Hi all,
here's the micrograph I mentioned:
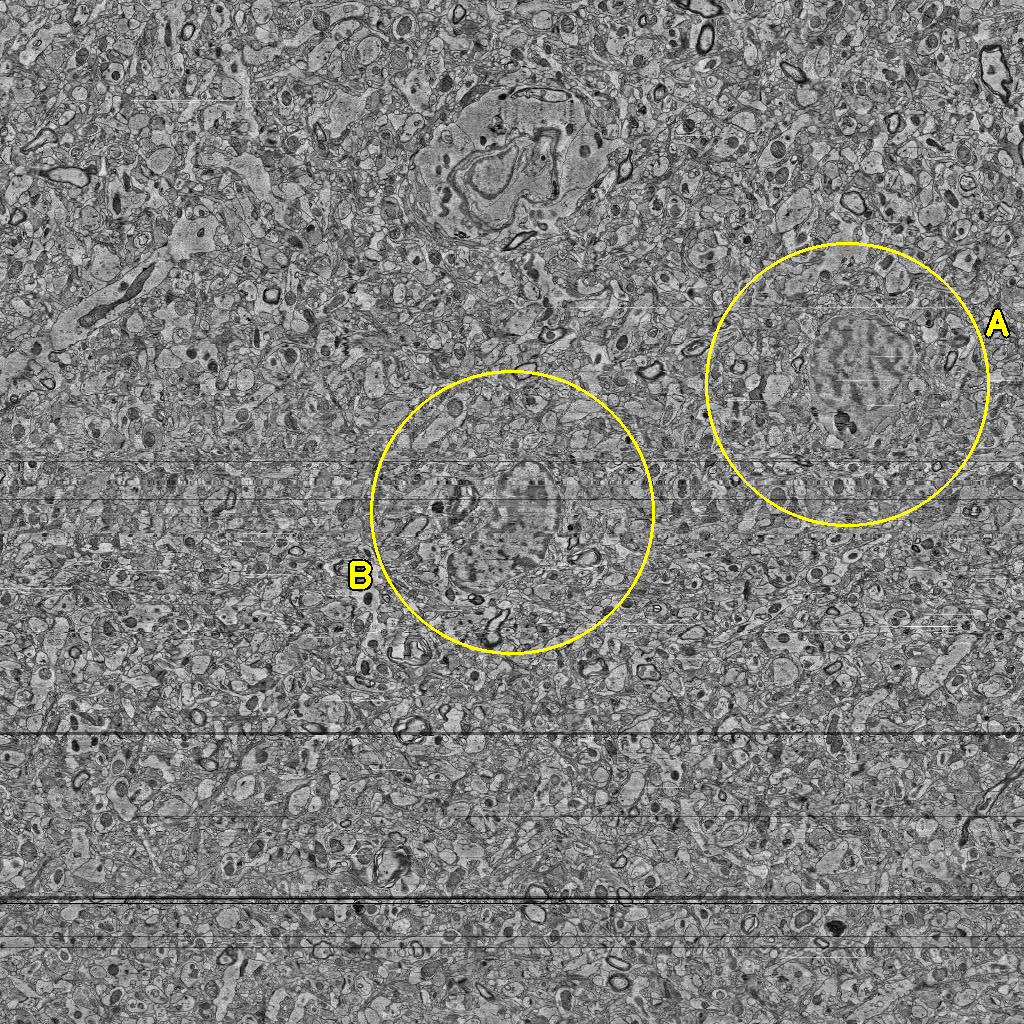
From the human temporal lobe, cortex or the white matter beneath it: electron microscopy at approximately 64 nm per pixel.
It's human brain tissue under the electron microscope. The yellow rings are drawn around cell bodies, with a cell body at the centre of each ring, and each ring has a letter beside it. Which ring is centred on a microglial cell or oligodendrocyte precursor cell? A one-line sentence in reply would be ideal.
It's the one labelled B.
